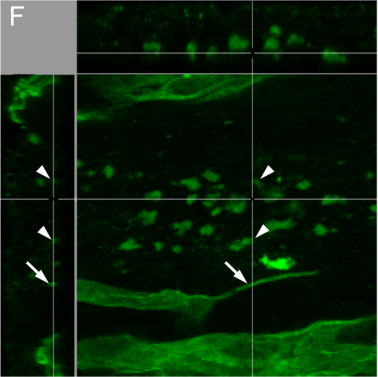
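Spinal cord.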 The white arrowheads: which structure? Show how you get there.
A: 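The arrowheads point to small round green dots. The dots are scattered between two broad green bands. The dots also appear as separate dots in the side projections. On this evidence: puncta.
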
